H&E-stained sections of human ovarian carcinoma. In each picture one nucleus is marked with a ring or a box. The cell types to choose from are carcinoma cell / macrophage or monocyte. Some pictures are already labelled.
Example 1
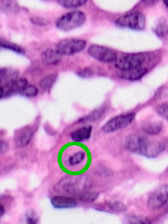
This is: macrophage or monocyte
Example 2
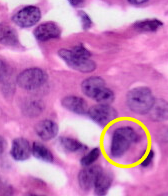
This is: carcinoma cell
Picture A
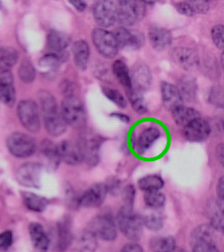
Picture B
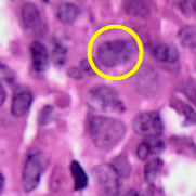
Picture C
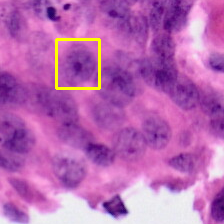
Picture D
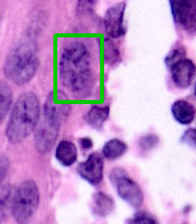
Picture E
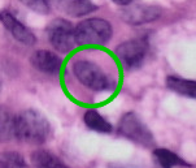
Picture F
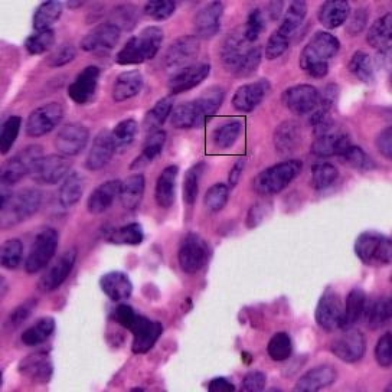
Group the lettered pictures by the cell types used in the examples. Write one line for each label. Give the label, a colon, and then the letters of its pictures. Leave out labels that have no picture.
carcinoma cell: A, B, C, D, E
macrophage or monocyte: F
